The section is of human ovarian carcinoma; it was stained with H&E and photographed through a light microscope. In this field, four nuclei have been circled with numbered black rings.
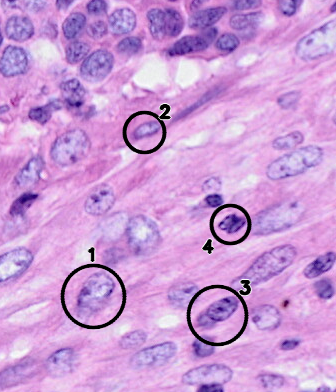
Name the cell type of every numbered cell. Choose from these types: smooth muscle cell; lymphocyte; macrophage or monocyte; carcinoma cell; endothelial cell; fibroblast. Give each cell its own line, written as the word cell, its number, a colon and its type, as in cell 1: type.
cell 1: fibroblast
cell 2: fibroblast
cell 3: macrophage or monocyte
cell 4: lymphocyte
